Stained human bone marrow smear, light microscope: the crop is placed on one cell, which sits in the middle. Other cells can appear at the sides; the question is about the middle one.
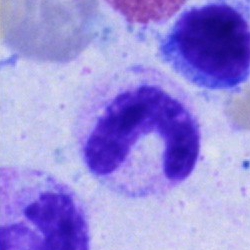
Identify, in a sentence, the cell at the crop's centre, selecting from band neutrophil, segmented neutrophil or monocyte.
The cell in the exact centre of the crop is a band neutrophil.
